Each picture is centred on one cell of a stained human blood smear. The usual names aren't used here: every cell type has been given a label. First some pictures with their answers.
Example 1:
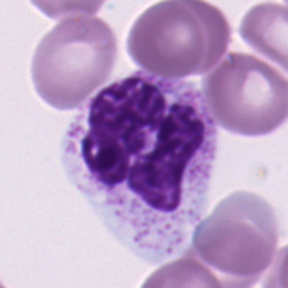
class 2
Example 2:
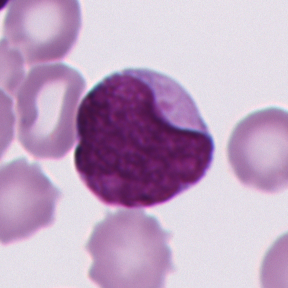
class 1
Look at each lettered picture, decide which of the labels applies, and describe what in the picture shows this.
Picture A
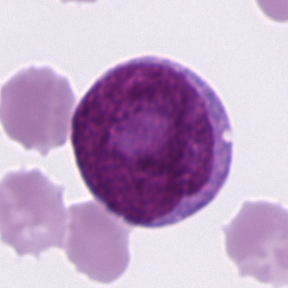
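class 1. Evidence: The cytoplasm forms a narrow crescent on the right side of the cell.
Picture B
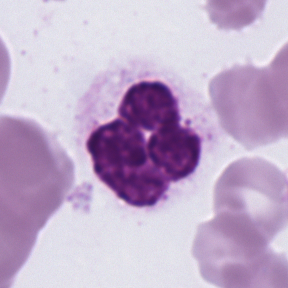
class 2. Evidence: The cytoplasm is pale and almost colourless, not blue.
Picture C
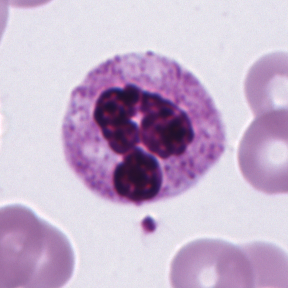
class 2. Evidence: The cytoplasm is plentiful and pale pinkish-lilac.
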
